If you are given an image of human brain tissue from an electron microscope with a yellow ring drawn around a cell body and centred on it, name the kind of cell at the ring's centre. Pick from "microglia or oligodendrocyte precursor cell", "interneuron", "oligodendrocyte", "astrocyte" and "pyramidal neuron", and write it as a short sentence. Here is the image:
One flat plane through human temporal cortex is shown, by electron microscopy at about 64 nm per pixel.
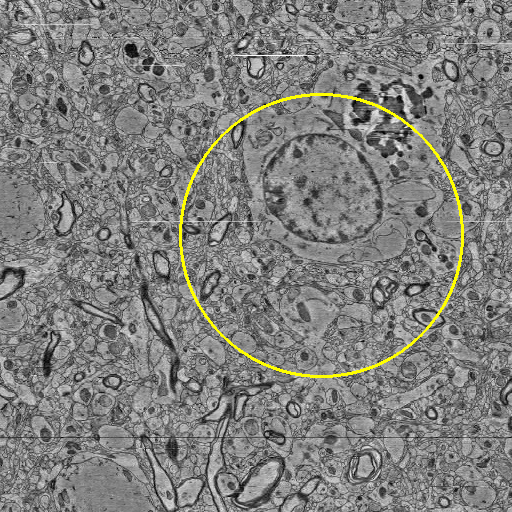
The cell at the ring's centre is an astrocyte.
